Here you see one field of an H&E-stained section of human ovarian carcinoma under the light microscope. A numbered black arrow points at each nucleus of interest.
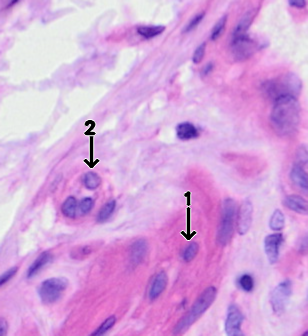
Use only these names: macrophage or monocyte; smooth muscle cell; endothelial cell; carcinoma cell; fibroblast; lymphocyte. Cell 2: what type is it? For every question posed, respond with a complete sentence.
That cell with number 2 is an endothelial cell.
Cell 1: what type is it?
Classified as a smooth muscle cell is the cell with the number 1.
